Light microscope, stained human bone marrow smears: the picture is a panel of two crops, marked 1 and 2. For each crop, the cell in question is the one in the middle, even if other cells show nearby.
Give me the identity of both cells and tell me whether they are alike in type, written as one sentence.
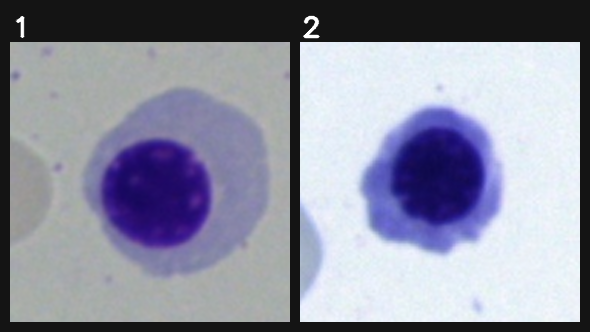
Yes, the cells in the centres of the two crops are erythroblasts.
